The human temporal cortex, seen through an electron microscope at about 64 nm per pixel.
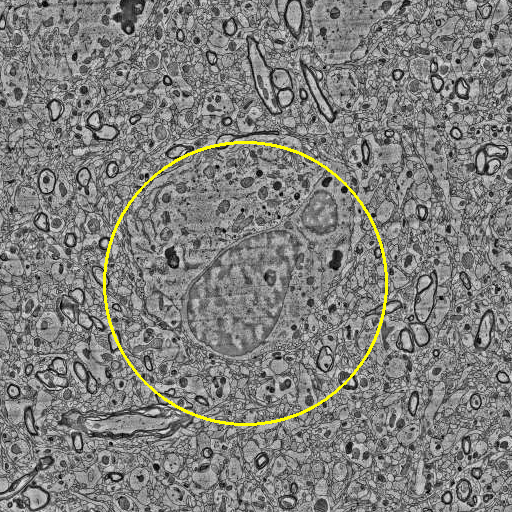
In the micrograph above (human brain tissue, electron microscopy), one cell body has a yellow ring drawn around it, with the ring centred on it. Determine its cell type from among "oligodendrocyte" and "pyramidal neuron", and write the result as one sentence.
The cell whose body is ringed is an oligodendrocyte.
